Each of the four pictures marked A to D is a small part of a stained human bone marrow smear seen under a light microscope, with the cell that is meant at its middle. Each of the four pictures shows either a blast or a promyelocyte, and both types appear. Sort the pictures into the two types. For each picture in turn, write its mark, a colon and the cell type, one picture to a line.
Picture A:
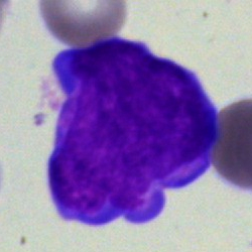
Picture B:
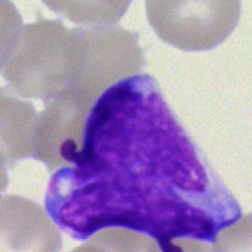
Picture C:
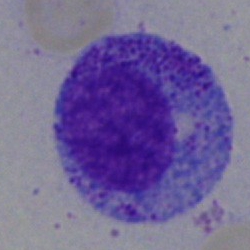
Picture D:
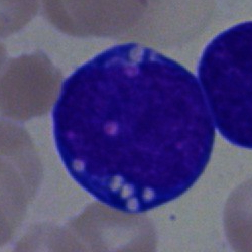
A: blast
B: blast
C: promyelocyte
D: blast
